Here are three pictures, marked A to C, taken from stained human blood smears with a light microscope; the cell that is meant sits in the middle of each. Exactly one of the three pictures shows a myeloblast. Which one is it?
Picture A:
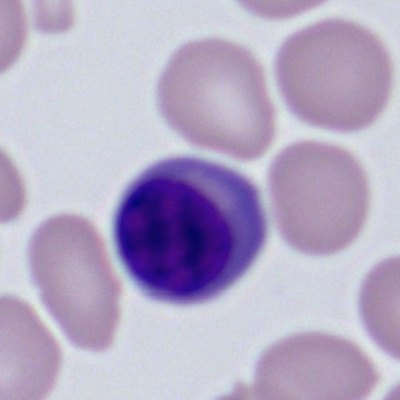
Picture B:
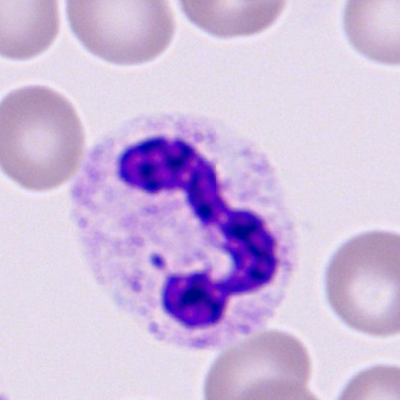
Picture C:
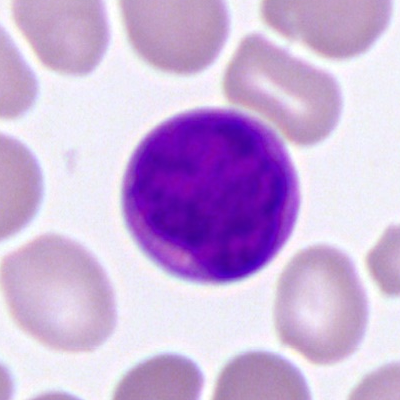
C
